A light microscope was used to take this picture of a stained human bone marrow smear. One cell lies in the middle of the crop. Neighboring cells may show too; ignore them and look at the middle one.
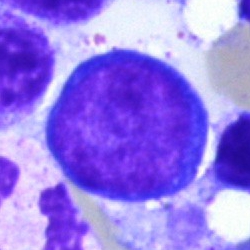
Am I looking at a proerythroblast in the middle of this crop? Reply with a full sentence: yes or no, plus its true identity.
Yes, that is right: the middle cell is a proerythroblast.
